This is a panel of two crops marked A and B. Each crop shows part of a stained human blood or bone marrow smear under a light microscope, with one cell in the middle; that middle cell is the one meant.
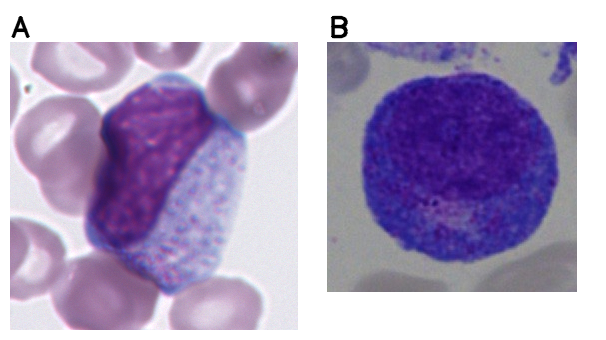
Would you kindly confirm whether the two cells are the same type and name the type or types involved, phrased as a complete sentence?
Yes, shown in both crops are promyelocytes.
